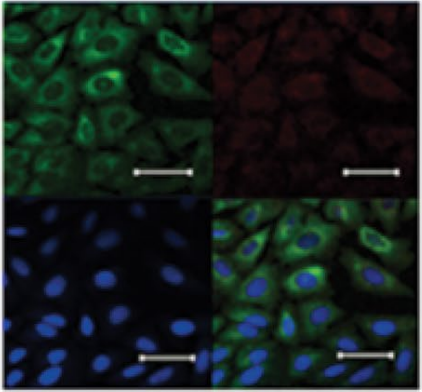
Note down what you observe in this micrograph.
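Adherent cultured cells shown as separate green, red and blue channels with a merged image. The cells are polygonal to spindle-shaped and lie close together in a monolayer. Each has a single oval nucleus in blue, placed centrally. Green fills the cytoplasm and is brightest around the nucleus. The red channel is faint and diffuse.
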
